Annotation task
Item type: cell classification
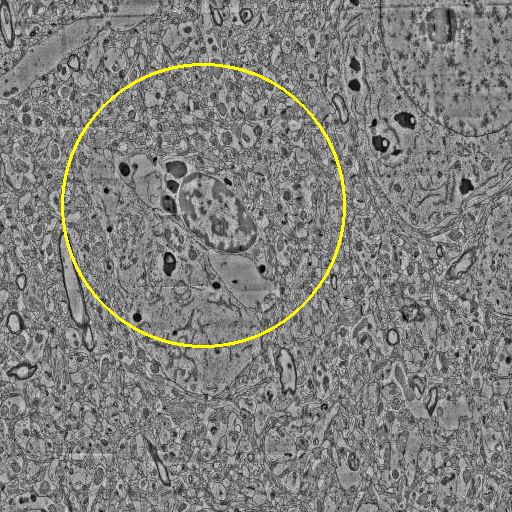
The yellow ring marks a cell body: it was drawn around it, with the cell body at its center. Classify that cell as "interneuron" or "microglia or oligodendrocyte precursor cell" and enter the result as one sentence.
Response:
The ring's center falls on a microglial cell or oligodendrocyte precursor cell.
